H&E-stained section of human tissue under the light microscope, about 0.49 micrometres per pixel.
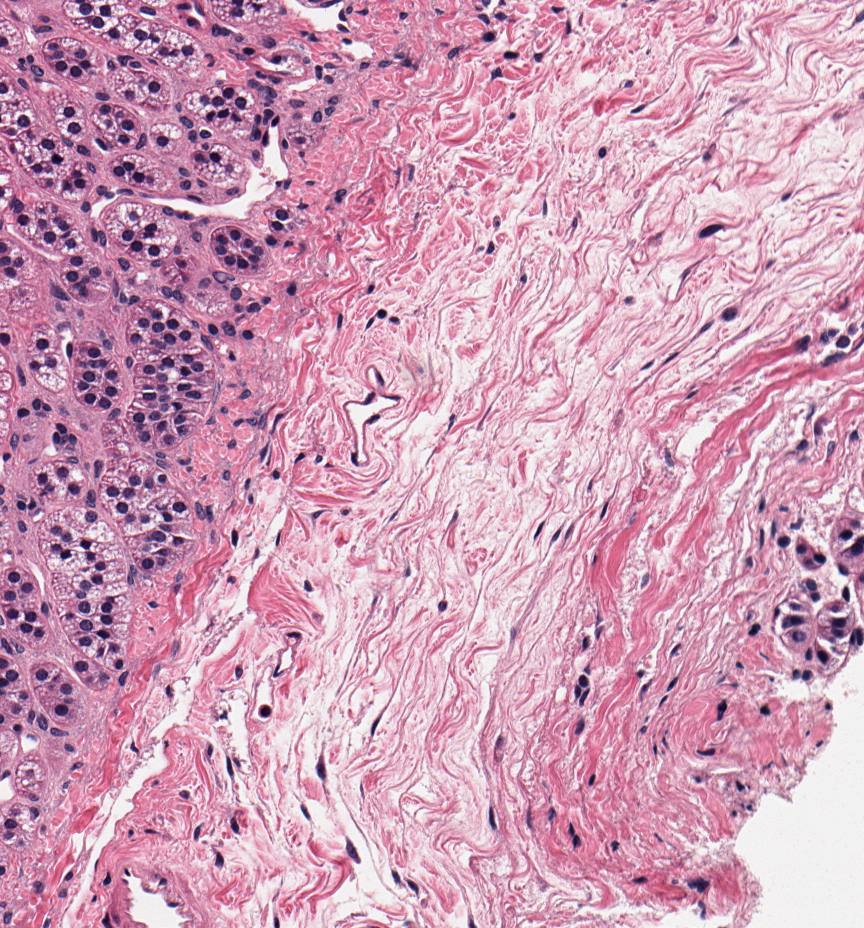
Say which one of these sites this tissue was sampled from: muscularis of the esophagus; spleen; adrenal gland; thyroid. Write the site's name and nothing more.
adrenal gland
